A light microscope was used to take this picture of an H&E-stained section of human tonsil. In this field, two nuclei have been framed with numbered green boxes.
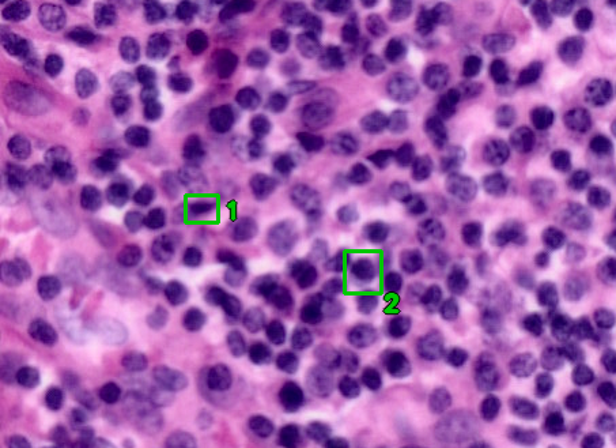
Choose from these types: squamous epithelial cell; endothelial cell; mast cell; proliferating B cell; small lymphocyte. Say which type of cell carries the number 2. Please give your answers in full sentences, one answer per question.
Cell number 2 in this section is a small lymphocyte.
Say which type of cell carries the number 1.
That cell with number 1 is an endothelial cell.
